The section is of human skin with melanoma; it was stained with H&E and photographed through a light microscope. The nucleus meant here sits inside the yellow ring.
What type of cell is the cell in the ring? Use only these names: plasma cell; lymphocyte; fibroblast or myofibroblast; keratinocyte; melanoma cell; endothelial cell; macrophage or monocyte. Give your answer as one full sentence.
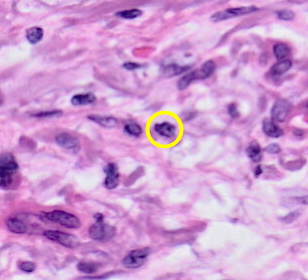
The cell type of the cell in the ring is that of a plasma cell.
